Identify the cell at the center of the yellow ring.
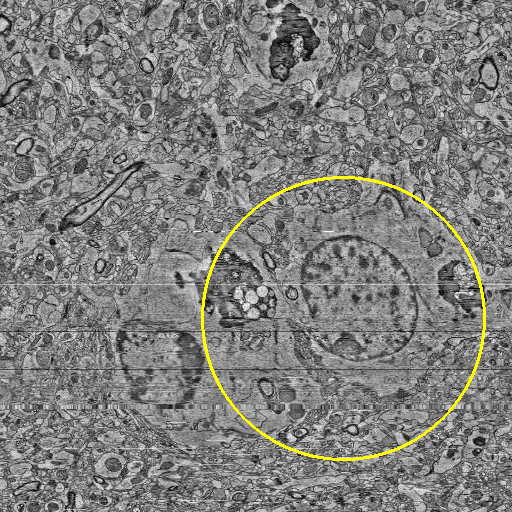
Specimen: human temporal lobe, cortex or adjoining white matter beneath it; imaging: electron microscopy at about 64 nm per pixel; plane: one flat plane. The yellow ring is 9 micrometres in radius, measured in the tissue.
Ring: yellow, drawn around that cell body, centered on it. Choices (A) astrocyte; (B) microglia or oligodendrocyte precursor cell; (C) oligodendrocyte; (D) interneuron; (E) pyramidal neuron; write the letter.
A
